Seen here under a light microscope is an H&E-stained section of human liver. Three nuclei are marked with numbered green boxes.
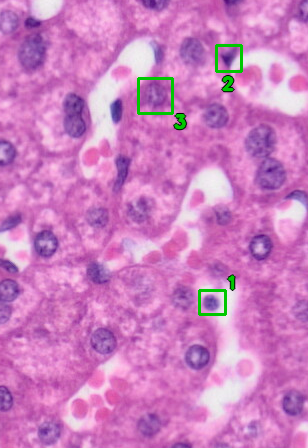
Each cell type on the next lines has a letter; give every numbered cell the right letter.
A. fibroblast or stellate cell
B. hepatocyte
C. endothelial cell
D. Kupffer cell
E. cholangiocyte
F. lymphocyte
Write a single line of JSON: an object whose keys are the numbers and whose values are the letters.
{"1": "F", "2": "A", "3": "B"}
